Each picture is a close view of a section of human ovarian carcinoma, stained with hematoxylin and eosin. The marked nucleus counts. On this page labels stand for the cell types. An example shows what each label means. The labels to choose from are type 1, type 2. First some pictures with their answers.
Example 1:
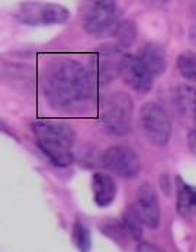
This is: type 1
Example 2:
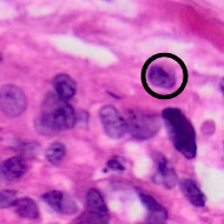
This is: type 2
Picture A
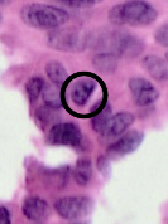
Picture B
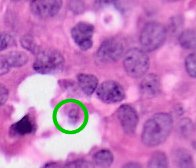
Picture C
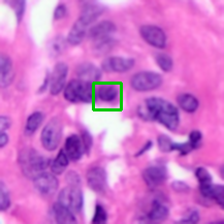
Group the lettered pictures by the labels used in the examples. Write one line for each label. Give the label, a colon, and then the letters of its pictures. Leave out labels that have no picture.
type 1: B, C
type 2: A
